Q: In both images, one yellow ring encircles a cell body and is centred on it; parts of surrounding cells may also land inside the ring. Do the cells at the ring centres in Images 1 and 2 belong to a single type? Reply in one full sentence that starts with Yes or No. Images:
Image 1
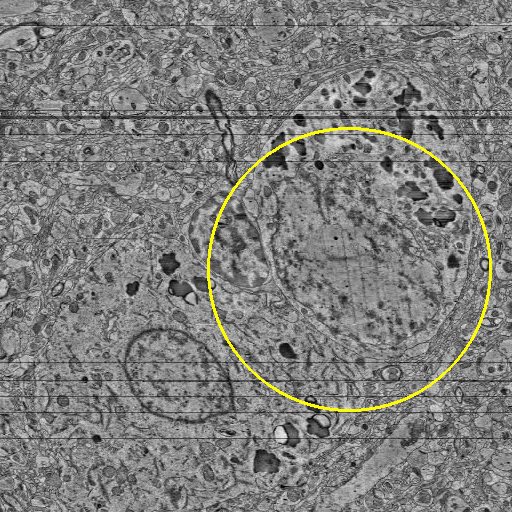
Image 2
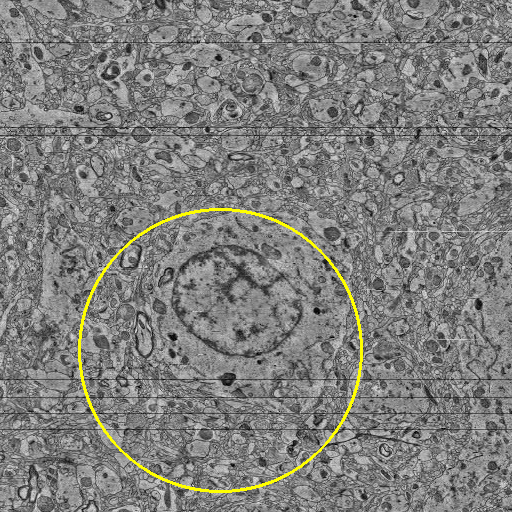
No, the cells at the ring centres in Images 1 and 2 are of two types.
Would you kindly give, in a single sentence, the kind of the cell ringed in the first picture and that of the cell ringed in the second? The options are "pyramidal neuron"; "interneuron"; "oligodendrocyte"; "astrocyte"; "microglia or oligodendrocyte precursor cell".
The second cell is a pyramidal neuron, and the first cell is an interneuron.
